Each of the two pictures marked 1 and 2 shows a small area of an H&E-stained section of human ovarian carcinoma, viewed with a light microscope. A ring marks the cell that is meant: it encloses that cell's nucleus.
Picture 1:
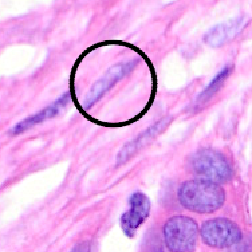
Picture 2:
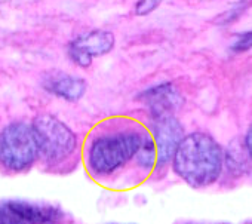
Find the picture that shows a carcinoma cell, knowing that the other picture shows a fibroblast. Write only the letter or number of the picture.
2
